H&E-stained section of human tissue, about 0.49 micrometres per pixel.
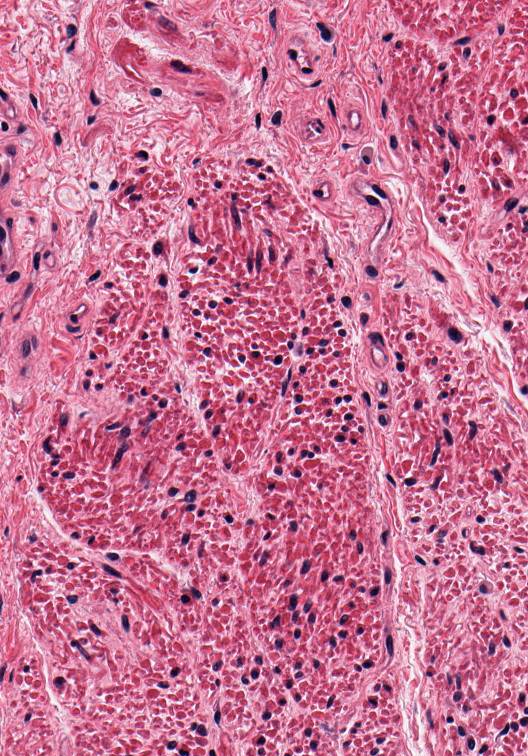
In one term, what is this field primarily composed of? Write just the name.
smooth muscle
